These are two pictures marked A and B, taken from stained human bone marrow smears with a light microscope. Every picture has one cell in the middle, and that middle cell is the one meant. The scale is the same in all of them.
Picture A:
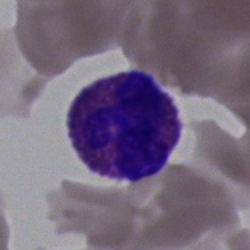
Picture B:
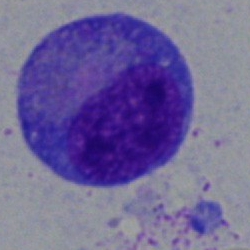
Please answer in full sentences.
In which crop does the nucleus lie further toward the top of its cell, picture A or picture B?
In picture A the nucleus is shifted more toward the top.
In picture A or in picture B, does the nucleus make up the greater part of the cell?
The nucleus fills more of the cell in picture A than in picture B.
